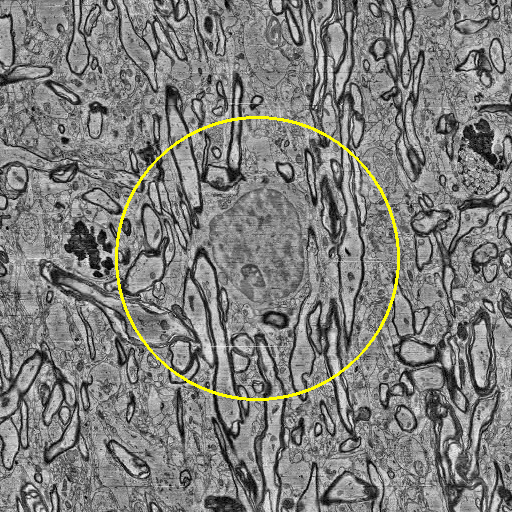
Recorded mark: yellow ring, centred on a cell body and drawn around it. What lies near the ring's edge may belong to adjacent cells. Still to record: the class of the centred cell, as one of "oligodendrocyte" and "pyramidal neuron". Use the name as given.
oligodendrocyte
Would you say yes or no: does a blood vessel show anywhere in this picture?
No, none shows.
